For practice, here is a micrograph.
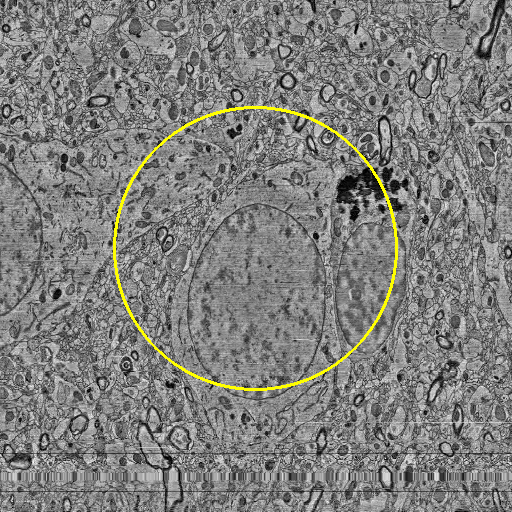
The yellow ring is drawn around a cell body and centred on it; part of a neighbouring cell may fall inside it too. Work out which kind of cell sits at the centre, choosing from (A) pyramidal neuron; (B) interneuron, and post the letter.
A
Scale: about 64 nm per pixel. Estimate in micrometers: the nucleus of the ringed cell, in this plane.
Roughly 13 micrometres by 9 micrometres, in this plane.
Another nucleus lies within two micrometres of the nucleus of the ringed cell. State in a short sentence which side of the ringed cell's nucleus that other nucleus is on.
The other nucleus is found to the right of it.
